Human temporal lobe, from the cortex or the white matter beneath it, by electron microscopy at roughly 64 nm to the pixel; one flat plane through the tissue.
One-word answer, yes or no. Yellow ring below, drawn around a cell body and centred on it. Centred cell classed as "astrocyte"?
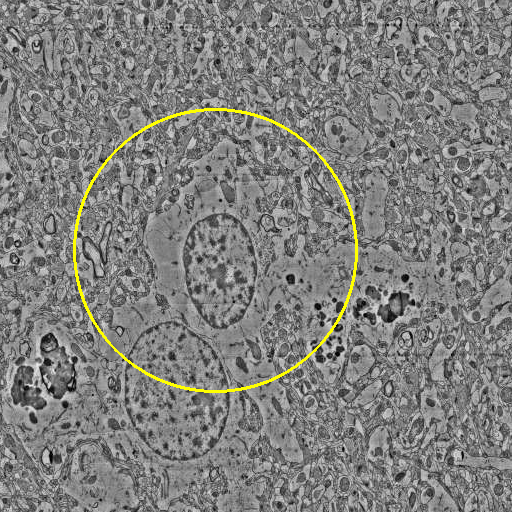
yes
